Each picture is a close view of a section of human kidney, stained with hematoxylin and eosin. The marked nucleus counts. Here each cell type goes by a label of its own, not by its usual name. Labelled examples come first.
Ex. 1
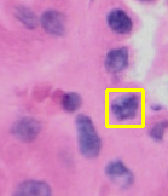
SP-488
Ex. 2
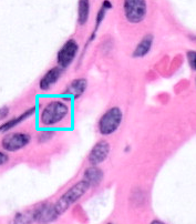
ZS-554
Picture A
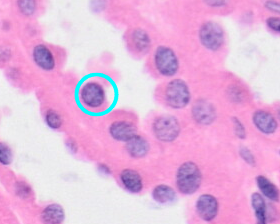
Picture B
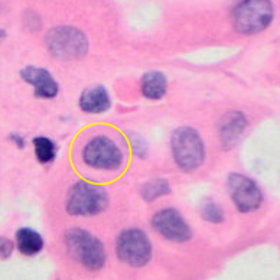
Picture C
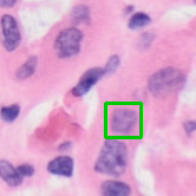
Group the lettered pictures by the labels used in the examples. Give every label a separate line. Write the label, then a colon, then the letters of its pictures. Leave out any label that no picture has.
SP-488: A
ZS-554: B, C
